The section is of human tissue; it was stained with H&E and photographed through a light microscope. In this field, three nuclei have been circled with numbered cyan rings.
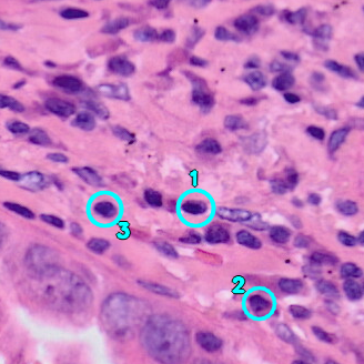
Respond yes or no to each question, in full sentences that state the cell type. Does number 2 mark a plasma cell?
Yes, the cell pointed out as number 2 is a plasma cell.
